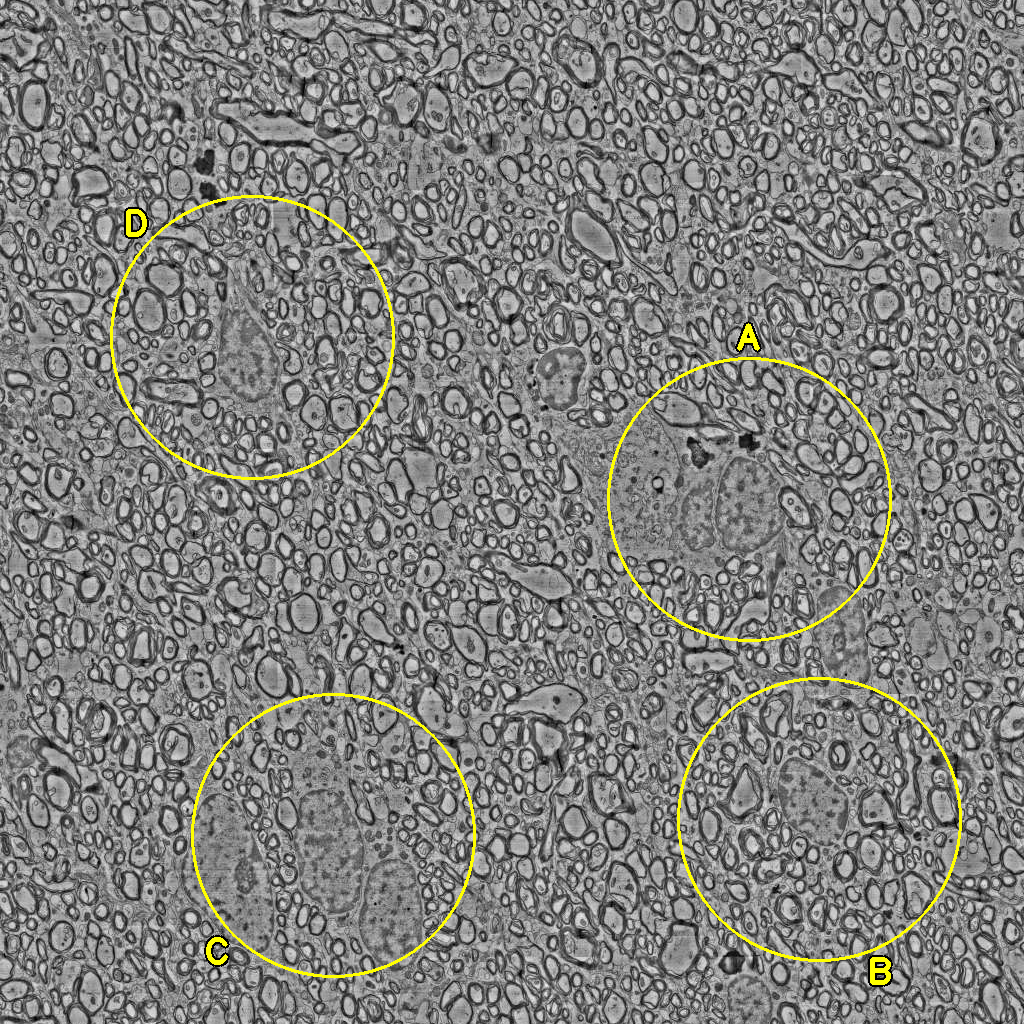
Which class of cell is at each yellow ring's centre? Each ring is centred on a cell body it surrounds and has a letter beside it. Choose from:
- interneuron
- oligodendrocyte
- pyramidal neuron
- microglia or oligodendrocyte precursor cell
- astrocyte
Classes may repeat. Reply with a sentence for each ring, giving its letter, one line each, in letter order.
The ring lettered A is centred on an oligodendrocyte.
The ring lettered B is centred on a microglial cell or oligodendrocyte precursor cell.
The ring lettered C is centred on an oligodendrocyte.
The ring lettered D is centred on an oligodendrocyte.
